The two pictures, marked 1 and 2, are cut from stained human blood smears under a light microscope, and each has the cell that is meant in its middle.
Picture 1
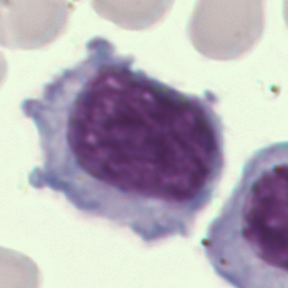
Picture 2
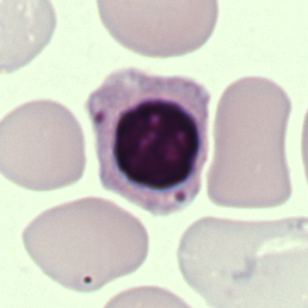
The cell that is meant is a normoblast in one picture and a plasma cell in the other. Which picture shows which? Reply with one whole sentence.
Picture 1 is of a plasma cell, and picture 2 is of a normoblast.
